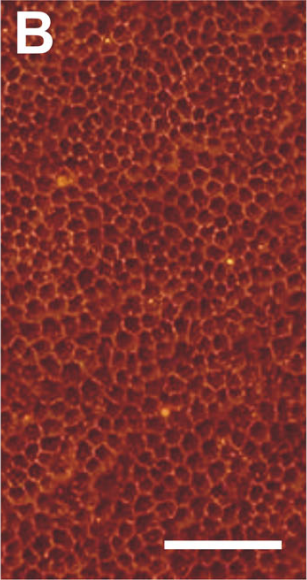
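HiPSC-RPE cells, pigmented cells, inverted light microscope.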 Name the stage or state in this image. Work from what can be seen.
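Cells form a regular mosaic of closely packed polygons. Bright cell borders outline darker cell interiors in a honeycomb pattern. Many cells have about six sides.
Conclusion: hexagonal morphology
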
